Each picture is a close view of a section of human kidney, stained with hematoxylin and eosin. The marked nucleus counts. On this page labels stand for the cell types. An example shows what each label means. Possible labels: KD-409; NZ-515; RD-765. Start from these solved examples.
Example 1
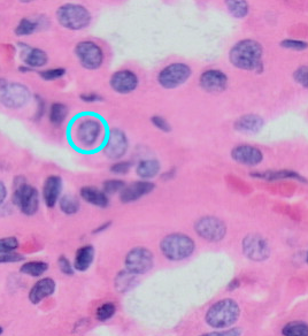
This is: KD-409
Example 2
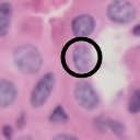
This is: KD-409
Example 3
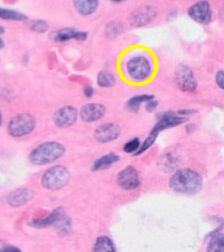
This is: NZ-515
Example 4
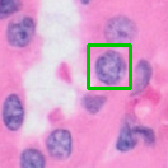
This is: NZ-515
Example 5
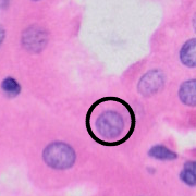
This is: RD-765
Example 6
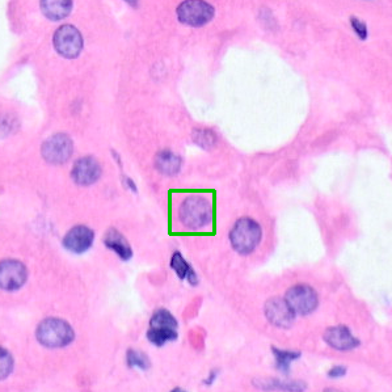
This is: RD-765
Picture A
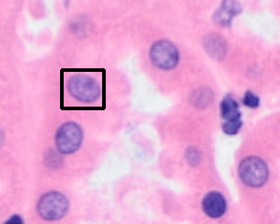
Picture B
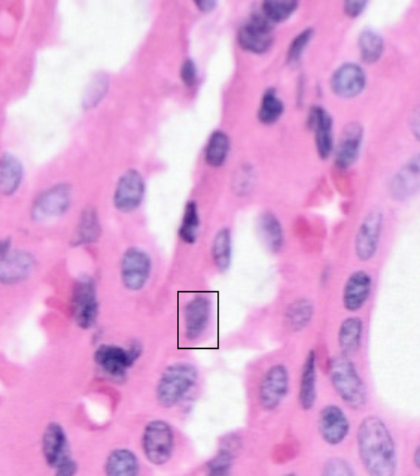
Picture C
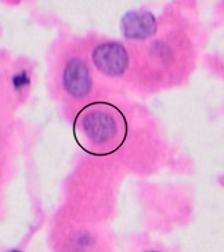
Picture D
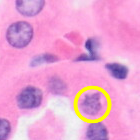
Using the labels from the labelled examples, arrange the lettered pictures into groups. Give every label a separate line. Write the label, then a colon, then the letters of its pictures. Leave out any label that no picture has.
NZ-515: B, D
RD-765: A, C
